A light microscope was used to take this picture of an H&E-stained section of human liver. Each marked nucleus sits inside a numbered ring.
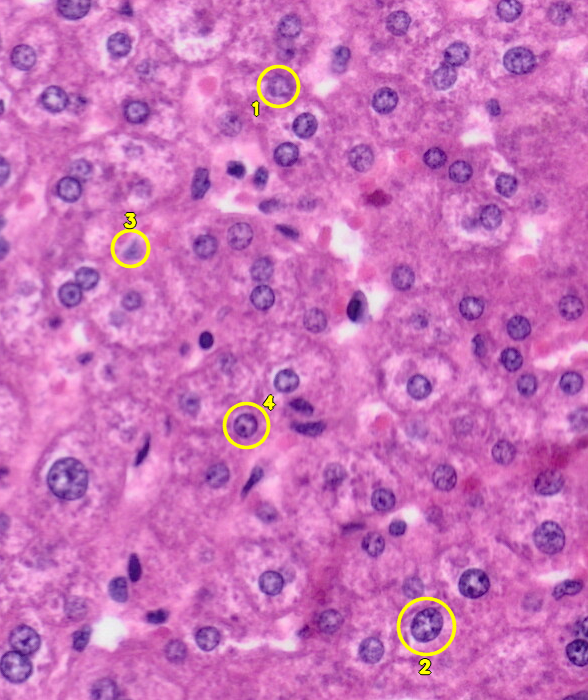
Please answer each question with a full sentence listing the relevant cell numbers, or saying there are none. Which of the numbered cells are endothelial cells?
Exactly one of the numbered cells is an endothelial cell, namely cell 3.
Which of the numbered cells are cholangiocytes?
All of the numbered cells are cells other than cholangiocytes.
